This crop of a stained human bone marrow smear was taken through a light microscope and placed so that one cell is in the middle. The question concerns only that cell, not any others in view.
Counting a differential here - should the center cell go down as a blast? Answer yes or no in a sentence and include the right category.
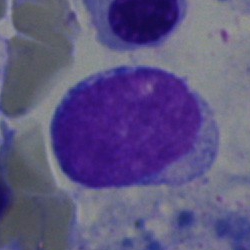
Yes, the crop is centred on a blast.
